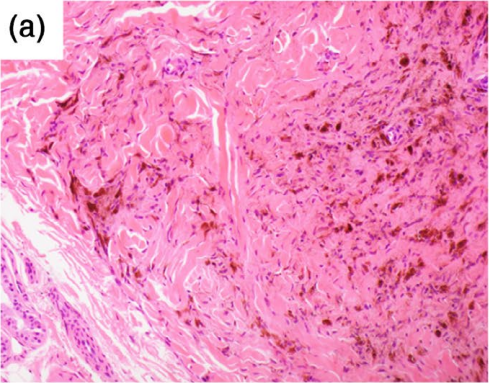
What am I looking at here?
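Nuclei are small, slender and dark purple. Small vessels appear within the collagen, and at the lower left lies a strip of less pigmented stroma.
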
